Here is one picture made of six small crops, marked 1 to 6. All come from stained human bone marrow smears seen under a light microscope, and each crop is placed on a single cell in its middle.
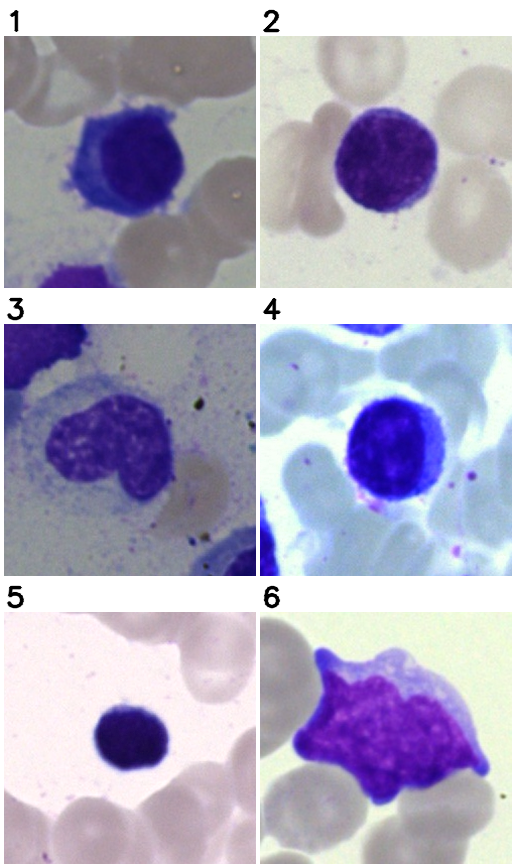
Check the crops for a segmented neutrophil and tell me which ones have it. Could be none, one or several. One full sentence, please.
Any crop chosen shows a central cell that is not a segmented neutrophil.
